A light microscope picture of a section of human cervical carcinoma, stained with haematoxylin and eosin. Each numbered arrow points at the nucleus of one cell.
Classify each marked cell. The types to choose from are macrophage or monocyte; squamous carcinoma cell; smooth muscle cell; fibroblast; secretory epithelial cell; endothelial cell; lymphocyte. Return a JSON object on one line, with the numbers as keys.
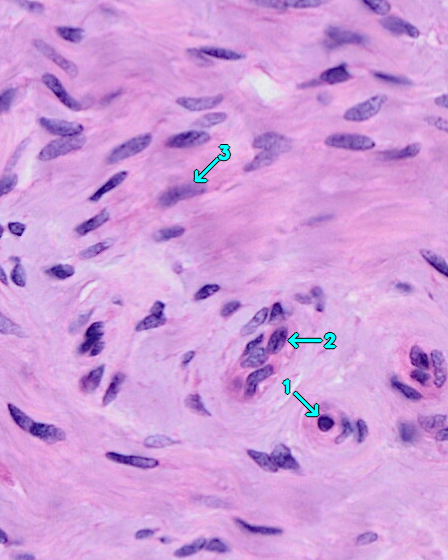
{"1": "endothelial cell", "2": "endothelial cell", "3": "fibroblast"}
